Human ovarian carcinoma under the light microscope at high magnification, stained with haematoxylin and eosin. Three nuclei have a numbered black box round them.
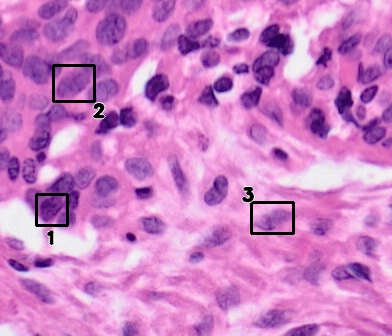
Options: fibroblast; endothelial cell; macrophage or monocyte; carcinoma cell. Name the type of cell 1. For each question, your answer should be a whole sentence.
The cell marked with number 1 is a carcinoma cell.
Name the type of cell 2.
The cell bearing label 2 corresponds to a carcinoma cell.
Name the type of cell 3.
The cell pointed out as number 3 is a fibroblast.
